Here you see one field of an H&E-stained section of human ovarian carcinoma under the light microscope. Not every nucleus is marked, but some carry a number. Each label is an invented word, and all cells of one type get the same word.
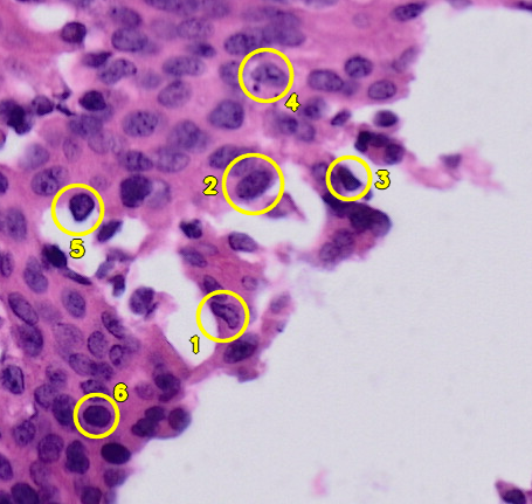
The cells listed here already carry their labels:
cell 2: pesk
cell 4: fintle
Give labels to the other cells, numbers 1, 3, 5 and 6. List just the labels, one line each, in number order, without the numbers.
fintle
pesk
pesk
pesk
